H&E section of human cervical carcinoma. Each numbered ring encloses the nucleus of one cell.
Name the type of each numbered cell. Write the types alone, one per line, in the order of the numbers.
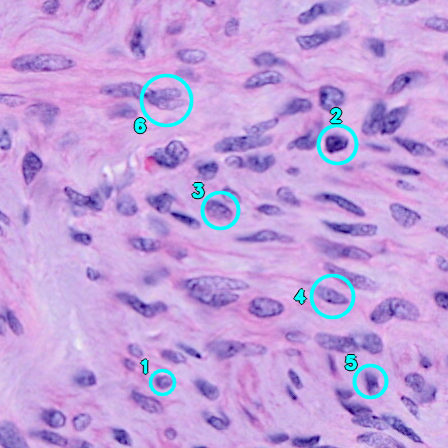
smooth muscle cell
lymphocyte
smooth muscle cell
smooth muscle cell
fibroblast
smooth muscle cell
